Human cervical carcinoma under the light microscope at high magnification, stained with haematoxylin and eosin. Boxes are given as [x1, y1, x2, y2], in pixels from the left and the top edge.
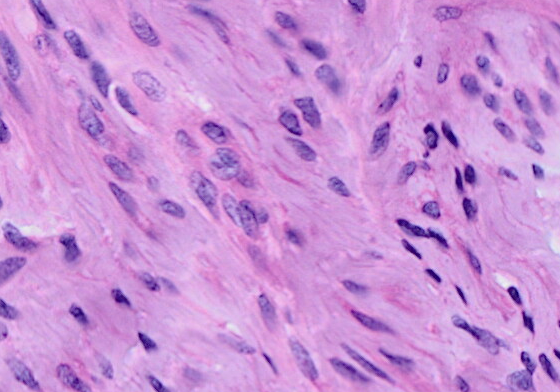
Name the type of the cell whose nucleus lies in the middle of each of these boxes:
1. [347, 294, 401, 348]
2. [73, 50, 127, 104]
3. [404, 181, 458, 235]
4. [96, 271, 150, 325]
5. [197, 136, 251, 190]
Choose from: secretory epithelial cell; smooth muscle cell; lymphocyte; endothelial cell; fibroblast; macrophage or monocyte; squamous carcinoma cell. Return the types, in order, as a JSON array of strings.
["smooth muscle cell", "fibroblast", "smooth muscle cell", "fibroblast", "endothelial cell"]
